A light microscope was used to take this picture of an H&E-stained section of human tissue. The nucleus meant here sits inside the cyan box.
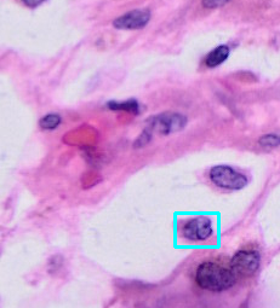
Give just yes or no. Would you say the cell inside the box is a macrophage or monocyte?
yes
